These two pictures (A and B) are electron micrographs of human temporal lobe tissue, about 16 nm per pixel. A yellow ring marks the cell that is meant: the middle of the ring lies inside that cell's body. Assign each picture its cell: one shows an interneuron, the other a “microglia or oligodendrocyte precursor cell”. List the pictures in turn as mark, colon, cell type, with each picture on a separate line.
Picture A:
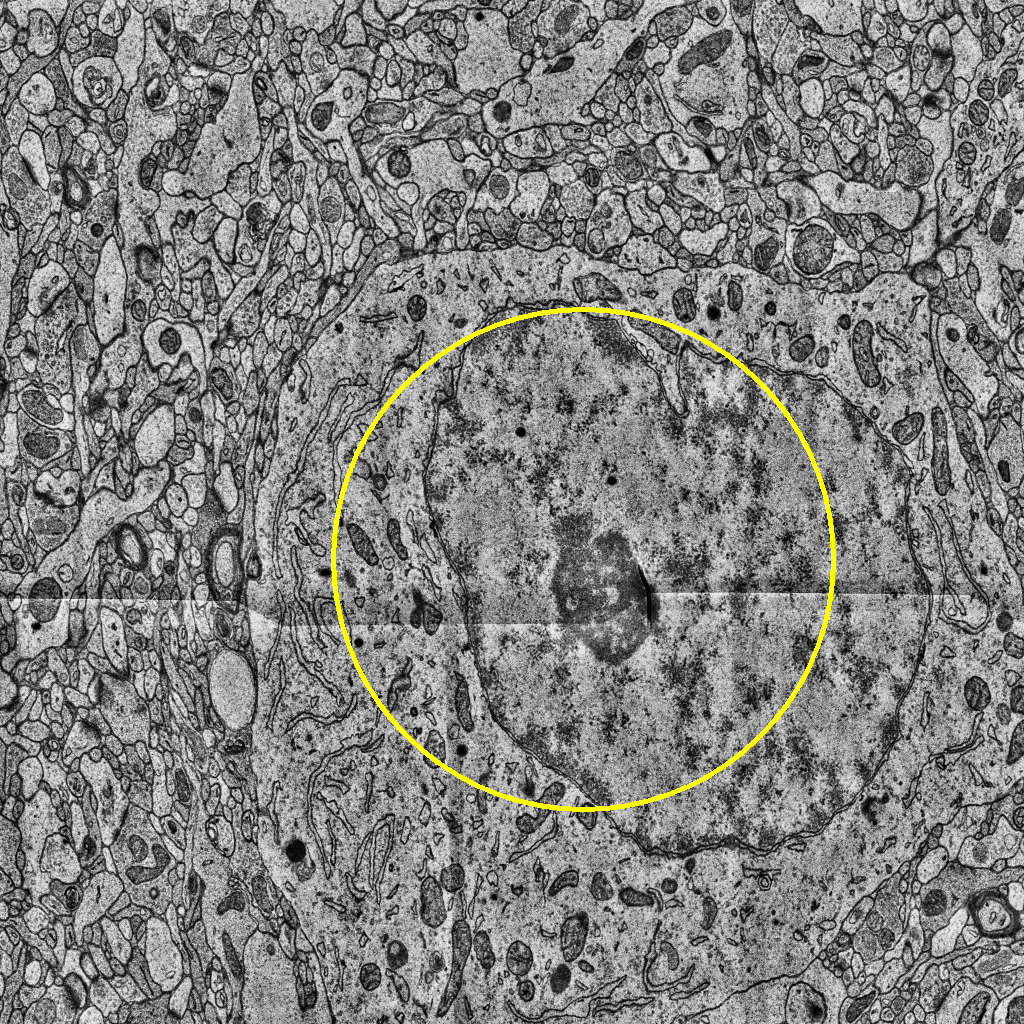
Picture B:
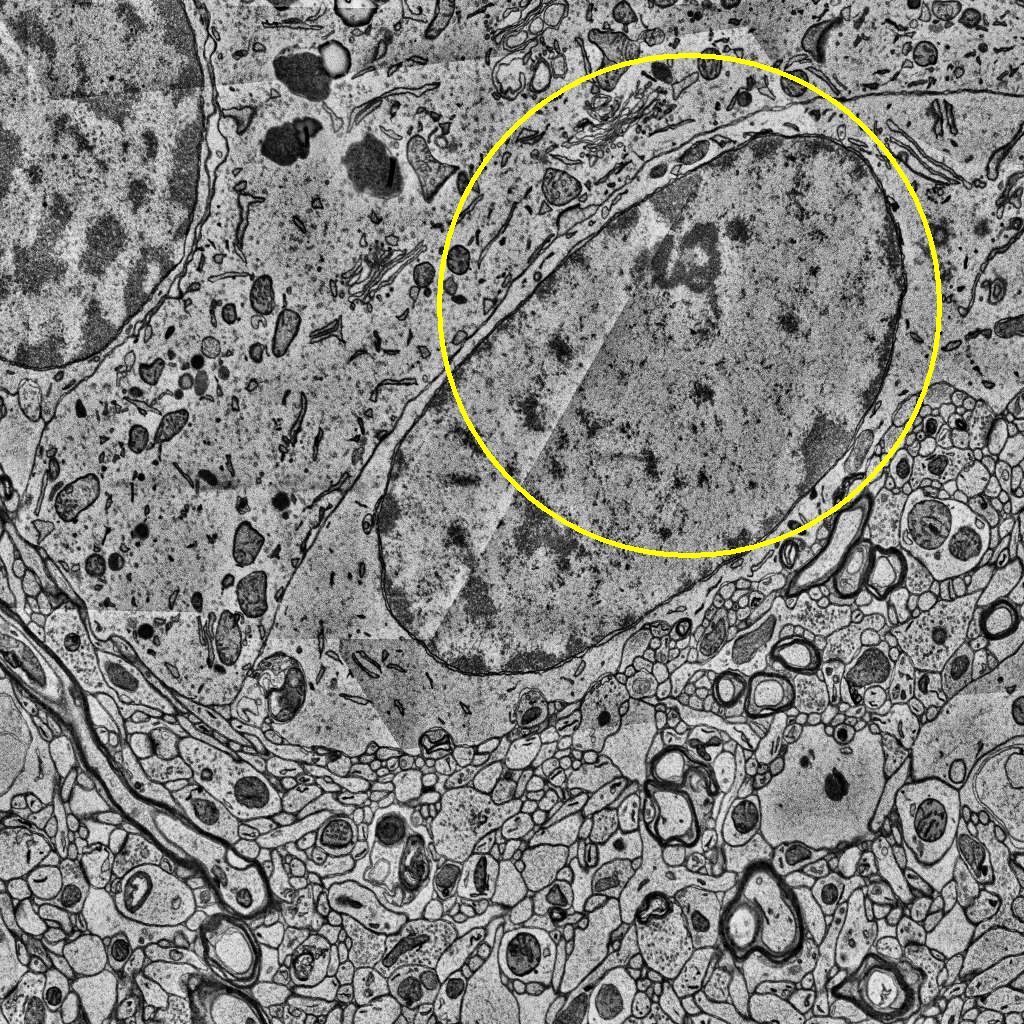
A: interneuron
B: microglia or oligodendrocyte precursor cell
